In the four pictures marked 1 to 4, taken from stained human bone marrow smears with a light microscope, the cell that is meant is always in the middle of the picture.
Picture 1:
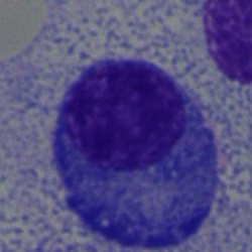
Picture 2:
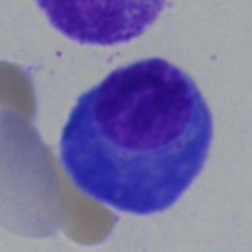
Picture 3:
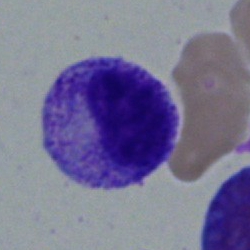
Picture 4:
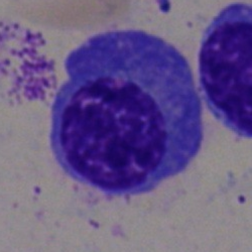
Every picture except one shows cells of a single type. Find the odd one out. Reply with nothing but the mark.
3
